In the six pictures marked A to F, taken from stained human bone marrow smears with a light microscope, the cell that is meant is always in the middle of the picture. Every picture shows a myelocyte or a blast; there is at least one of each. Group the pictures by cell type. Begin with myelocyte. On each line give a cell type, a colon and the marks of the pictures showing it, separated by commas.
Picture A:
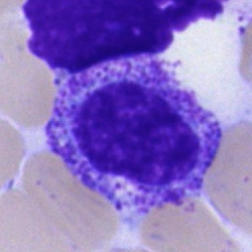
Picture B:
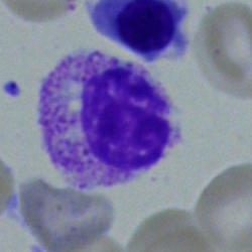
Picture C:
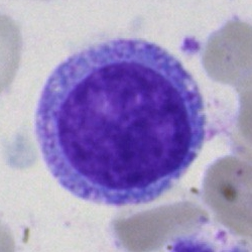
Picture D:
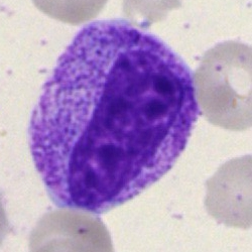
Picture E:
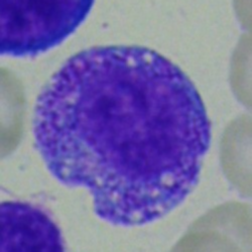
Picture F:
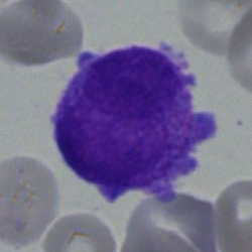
myelocyte: A, B, D, E
blast: C, F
